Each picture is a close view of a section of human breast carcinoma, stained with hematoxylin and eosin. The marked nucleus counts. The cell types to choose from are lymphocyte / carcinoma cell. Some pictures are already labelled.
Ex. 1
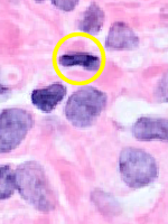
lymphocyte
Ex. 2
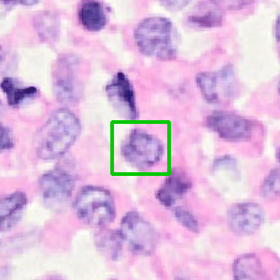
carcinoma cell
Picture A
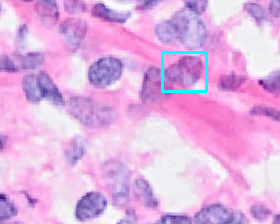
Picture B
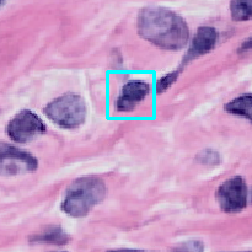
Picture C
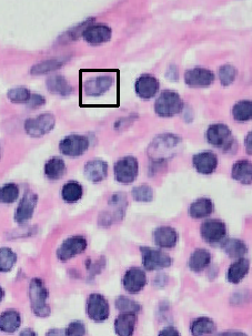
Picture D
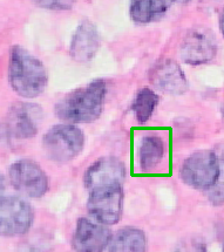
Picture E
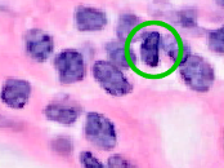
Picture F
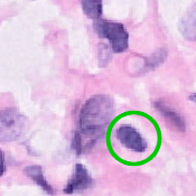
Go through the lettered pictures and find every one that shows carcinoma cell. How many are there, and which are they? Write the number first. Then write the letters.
2, namely A, D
